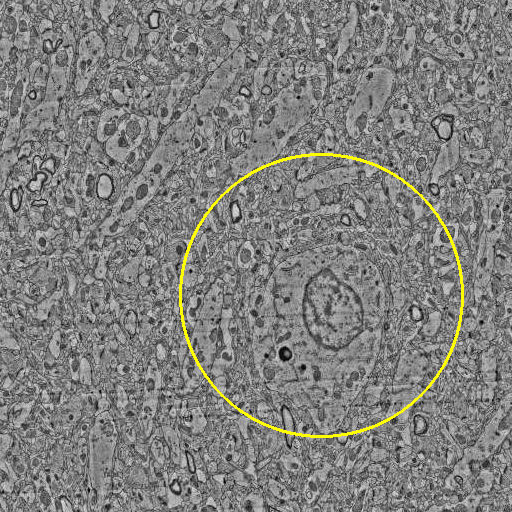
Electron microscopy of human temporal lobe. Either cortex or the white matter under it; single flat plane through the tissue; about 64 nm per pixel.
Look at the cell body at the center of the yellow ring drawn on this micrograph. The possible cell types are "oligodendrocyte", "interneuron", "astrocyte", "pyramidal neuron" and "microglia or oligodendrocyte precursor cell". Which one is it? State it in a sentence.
The cell in the middle of the ring is a pyramidal neuron.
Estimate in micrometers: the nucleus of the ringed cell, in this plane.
The ringed cell's nucleus measures approximately 5 by 4 micrometres in this plane.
